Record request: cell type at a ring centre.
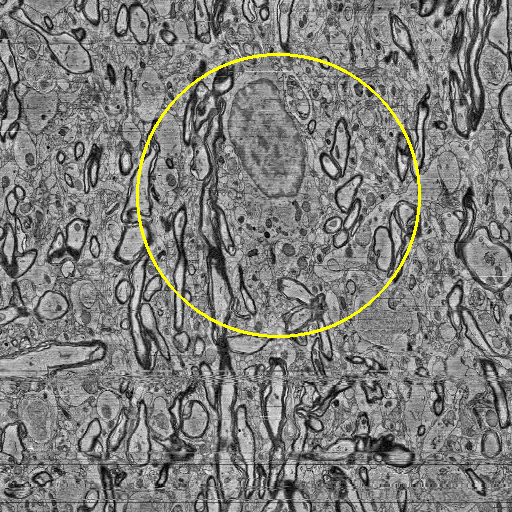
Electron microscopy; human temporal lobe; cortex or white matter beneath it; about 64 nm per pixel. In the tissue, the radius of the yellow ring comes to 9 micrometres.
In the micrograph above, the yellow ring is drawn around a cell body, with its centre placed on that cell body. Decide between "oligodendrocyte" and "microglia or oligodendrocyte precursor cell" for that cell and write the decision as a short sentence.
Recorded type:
The cell centred in the yellow ring is an oligodendrocyte.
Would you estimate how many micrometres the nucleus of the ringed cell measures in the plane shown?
In this plane, the nucleus is roughly 8 by 4 micrometres.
